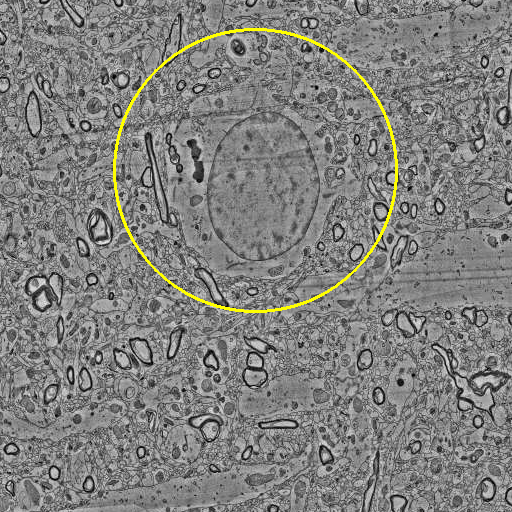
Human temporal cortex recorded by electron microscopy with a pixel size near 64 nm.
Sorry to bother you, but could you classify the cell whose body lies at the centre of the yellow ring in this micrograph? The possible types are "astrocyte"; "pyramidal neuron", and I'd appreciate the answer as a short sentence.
The ringed cell body is that of an astrocyte.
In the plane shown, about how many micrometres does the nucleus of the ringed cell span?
Approximately 10 micrometres long and 7 micrometres wide, in this plane.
